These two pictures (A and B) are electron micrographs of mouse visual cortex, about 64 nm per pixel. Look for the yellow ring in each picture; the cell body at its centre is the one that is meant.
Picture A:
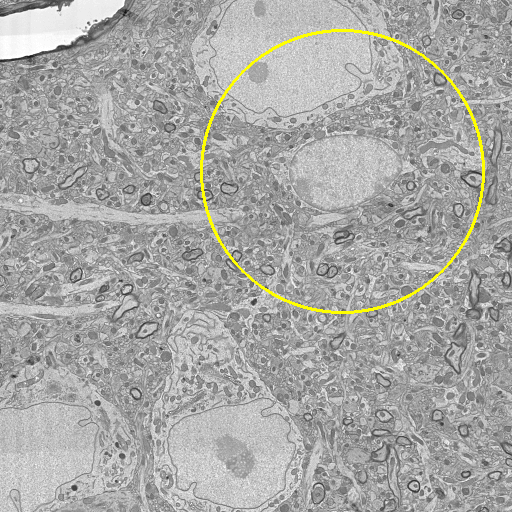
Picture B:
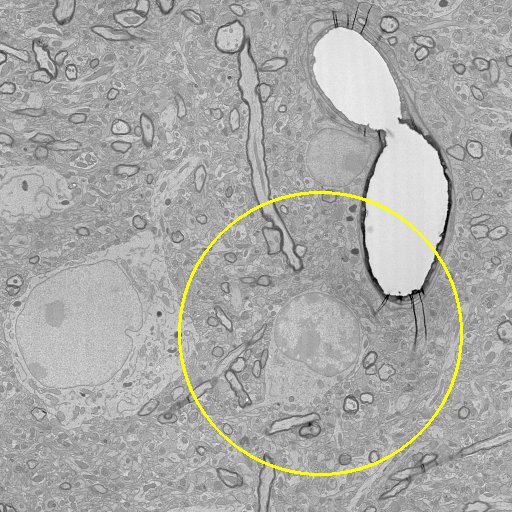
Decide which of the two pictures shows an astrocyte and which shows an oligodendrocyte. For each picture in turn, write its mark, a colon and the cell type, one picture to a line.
A: astrocyte
B: oligodendrocyte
